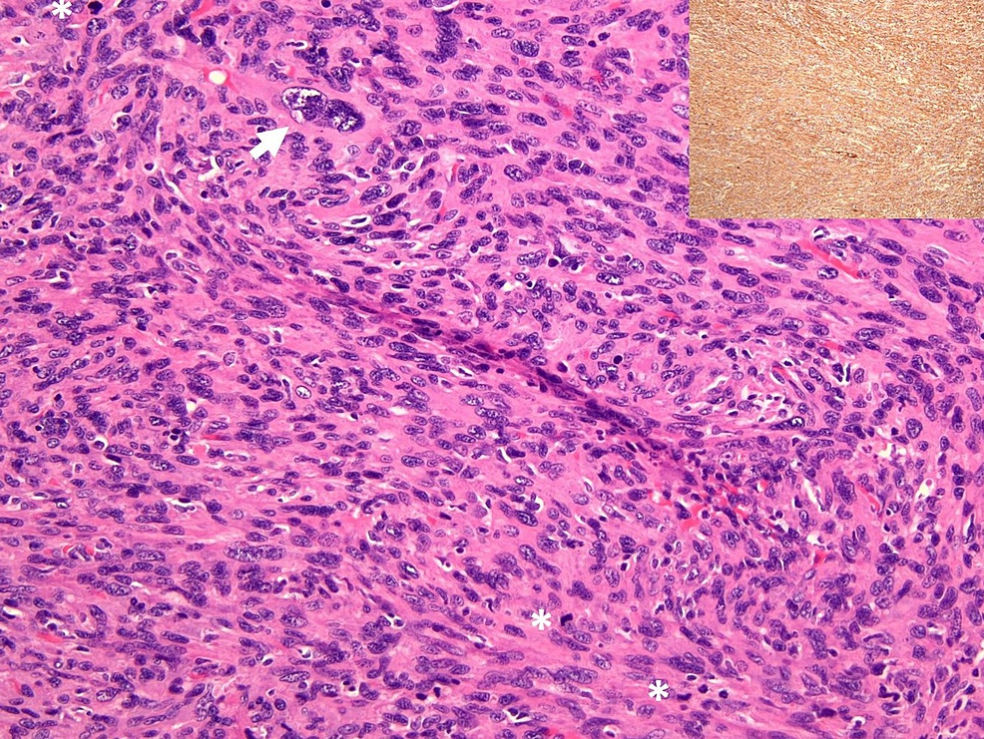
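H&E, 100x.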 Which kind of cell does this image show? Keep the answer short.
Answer: Spindle neoplastic cells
